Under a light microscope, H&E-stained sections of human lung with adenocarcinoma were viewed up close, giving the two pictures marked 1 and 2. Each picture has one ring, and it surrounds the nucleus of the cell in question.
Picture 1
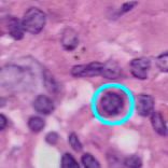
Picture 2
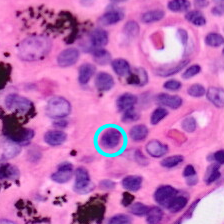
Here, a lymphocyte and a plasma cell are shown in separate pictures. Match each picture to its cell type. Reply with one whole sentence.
Picture 1 shows a plasma cell and picture 2 shows a lymphocyte.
